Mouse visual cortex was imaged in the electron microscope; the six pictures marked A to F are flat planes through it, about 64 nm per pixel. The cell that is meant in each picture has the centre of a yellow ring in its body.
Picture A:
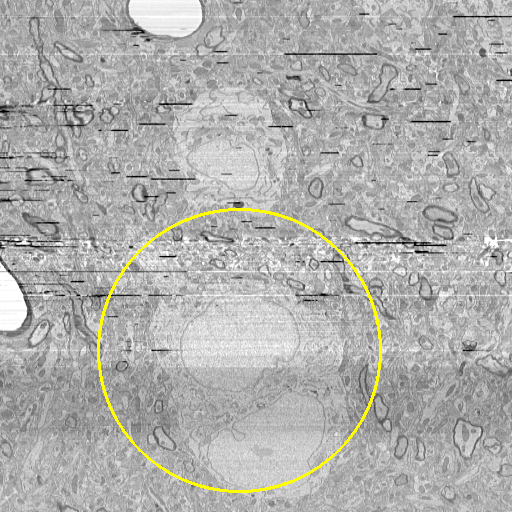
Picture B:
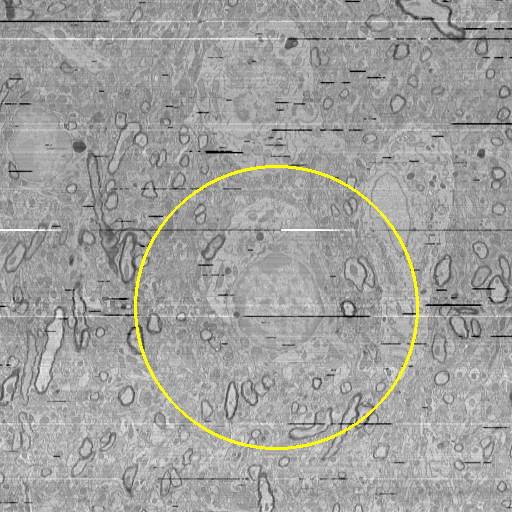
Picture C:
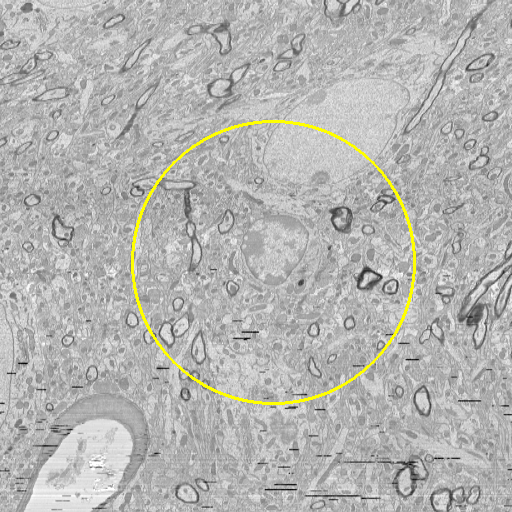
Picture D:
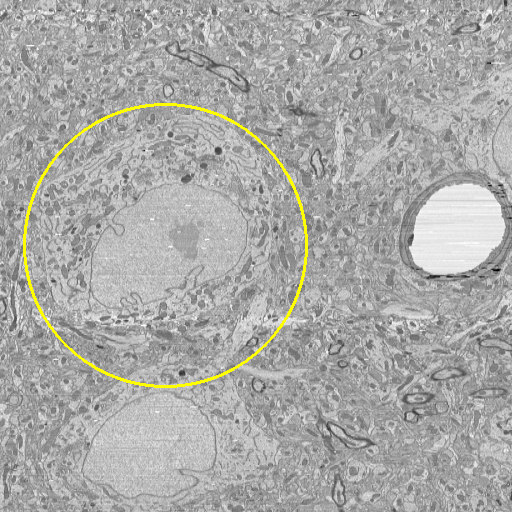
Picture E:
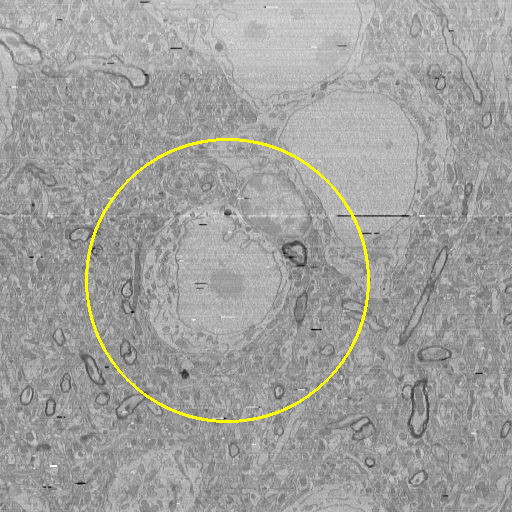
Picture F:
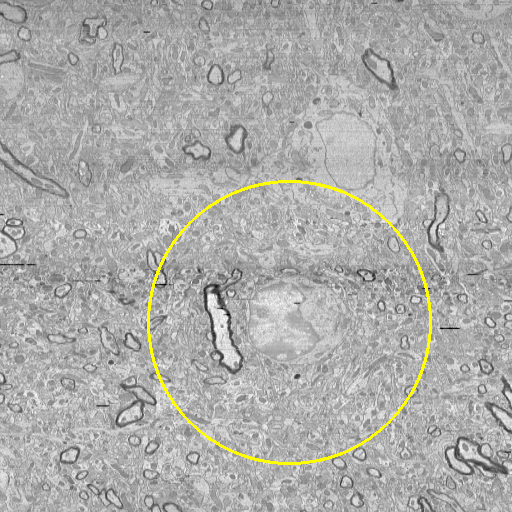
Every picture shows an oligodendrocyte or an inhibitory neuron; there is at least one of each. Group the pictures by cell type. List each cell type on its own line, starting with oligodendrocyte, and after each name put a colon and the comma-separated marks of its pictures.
oligodendrocyte: A, B, C, F
inhibitory neuron: D, E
